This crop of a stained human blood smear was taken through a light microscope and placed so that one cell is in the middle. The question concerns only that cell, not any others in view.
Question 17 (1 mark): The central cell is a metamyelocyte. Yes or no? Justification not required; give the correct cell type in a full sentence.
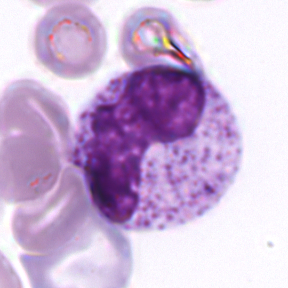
No, that is not a metamyelocyte; the middle cell is a band neutrophil.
